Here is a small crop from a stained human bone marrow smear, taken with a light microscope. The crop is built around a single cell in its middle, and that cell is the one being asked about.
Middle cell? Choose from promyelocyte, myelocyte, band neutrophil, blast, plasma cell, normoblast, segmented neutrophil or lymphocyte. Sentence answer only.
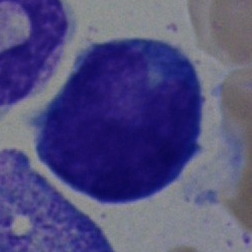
The cell occupying the middle of the crop is a blast.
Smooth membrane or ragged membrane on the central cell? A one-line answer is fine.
Ragged or projecting, the border of this cell departs from a smooth contour.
